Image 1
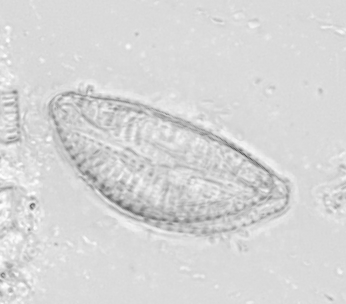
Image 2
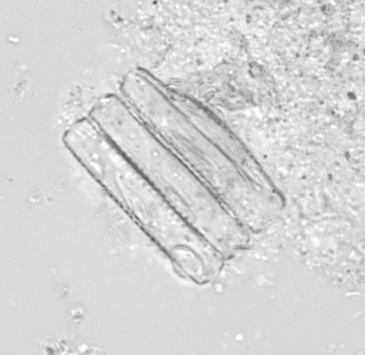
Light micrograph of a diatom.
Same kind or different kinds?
Same: Encyonema.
